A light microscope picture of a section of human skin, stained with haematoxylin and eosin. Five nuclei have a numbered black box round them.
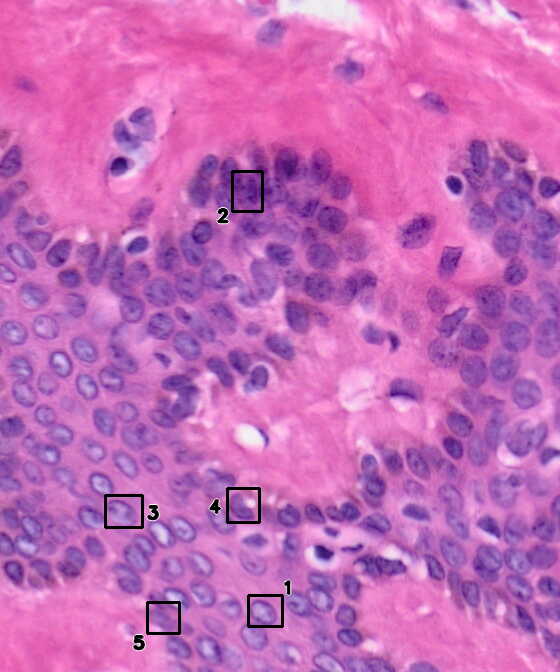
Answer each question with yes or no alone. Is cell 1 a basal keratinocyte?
no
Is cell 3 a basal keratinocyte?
no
